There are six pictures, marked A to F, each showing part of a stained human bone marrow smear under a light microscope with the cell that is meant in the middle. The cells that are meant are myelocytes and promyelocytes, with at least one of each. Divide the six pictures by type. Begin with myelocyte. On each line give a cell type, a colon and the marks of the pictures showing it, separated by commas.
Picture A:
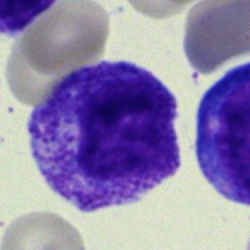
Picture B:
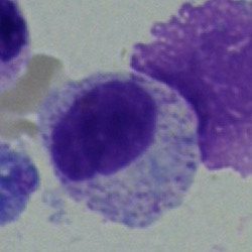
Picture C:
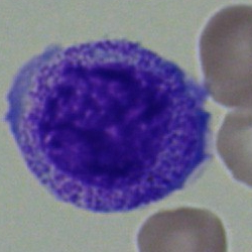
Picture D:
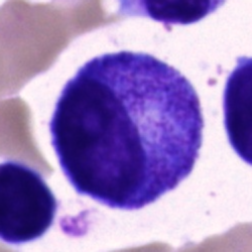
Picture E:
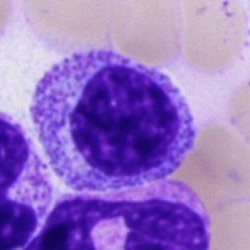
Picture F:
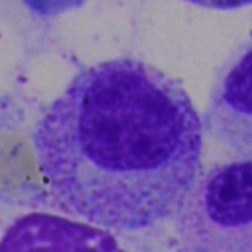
myelocyte: A, B, E, F
promyelocyte: C, D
